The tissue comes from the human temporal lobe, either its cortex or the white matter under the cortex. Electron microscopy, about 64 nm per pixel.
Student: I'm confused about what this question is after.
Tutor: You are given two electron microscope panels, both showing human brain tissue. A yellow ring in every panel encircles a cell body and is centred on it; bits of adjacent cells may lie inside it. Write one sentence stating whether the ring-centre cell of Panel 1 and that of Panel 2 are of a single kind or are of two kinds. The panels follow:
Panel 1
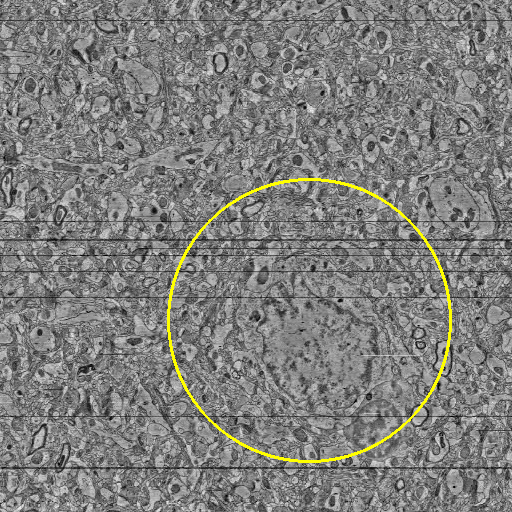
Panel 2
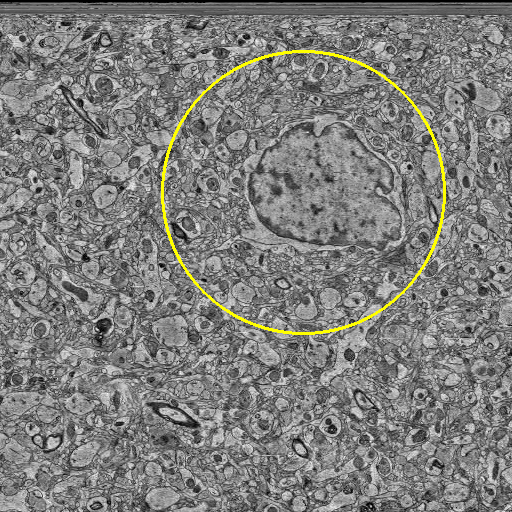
Here, the Panel 1 ring-centre cell and the Panel 2 ring-centre cell are of two kinds.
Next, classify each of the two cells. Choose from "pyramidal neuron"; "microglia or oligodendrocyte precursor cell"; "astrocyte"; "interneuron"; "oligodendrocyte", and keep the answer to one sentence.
In the first picture it is an interneuron; in the second it is a microglial cell or oligodendrocyte precursor cell.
